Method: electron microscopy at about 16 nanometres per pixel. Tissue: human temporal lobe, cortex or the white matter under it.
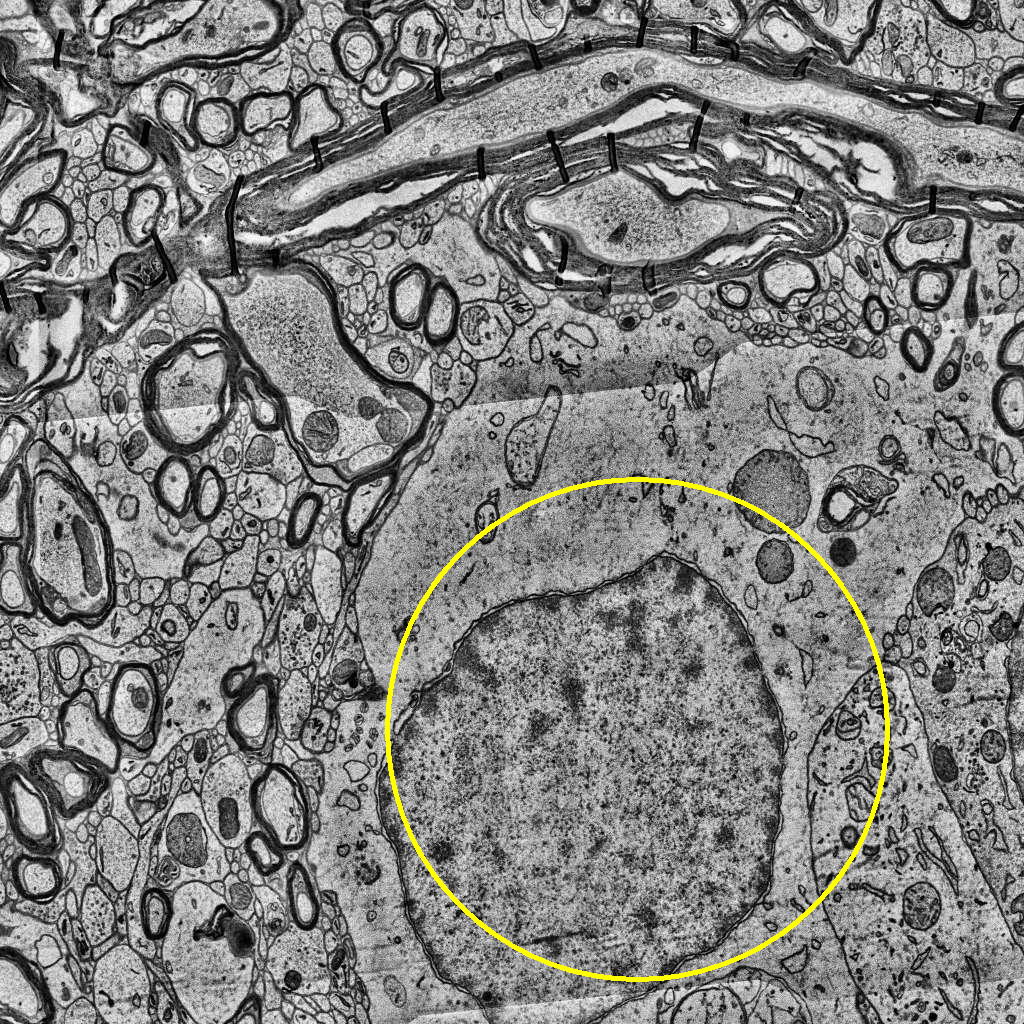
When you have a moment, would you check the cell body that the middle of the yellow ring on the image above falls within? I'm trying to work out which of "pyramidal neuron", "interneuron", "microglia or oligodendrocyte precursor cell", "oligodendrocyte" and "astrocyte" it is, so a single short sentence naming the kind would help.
This cell body belongs to an astrocyte.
